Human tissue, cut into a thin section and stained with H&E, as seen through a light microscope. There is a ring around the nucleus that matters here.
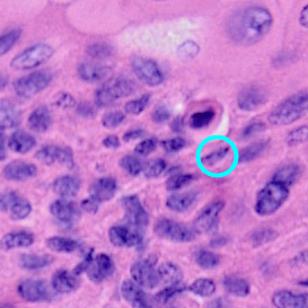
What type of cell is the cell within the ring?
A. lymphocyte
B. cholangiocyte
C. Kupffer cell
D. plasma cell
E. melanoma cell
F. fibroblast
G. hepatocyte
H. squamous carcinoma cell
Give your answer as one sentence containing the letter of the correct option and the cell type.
The correct identification, the cell within the ring as a squamous carcinoma cell, is given by option H.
